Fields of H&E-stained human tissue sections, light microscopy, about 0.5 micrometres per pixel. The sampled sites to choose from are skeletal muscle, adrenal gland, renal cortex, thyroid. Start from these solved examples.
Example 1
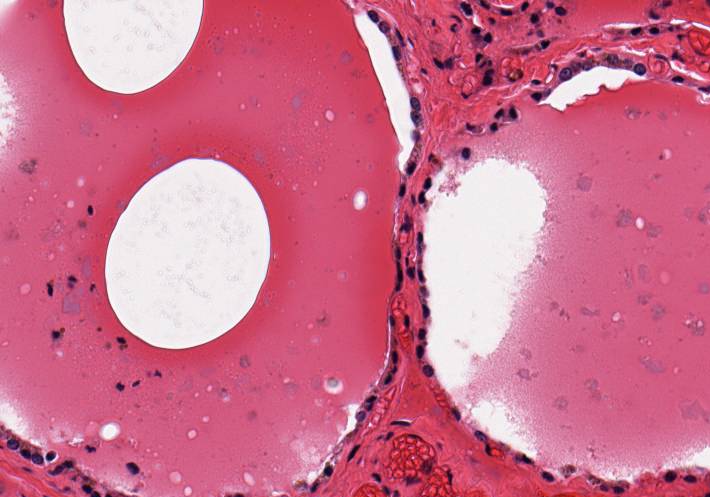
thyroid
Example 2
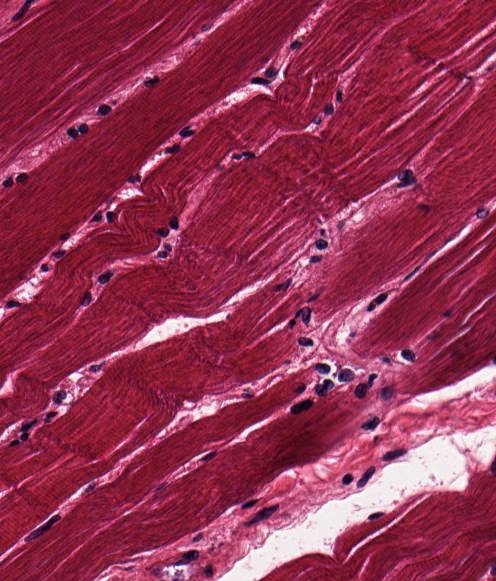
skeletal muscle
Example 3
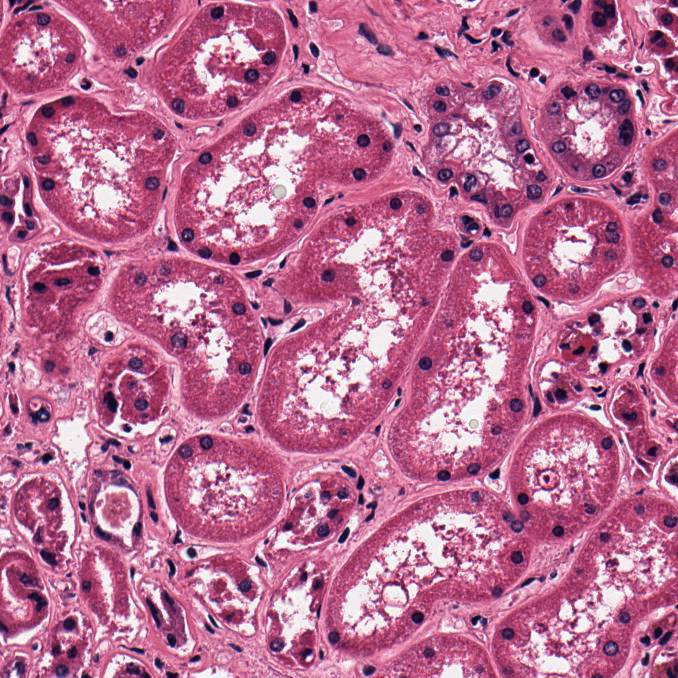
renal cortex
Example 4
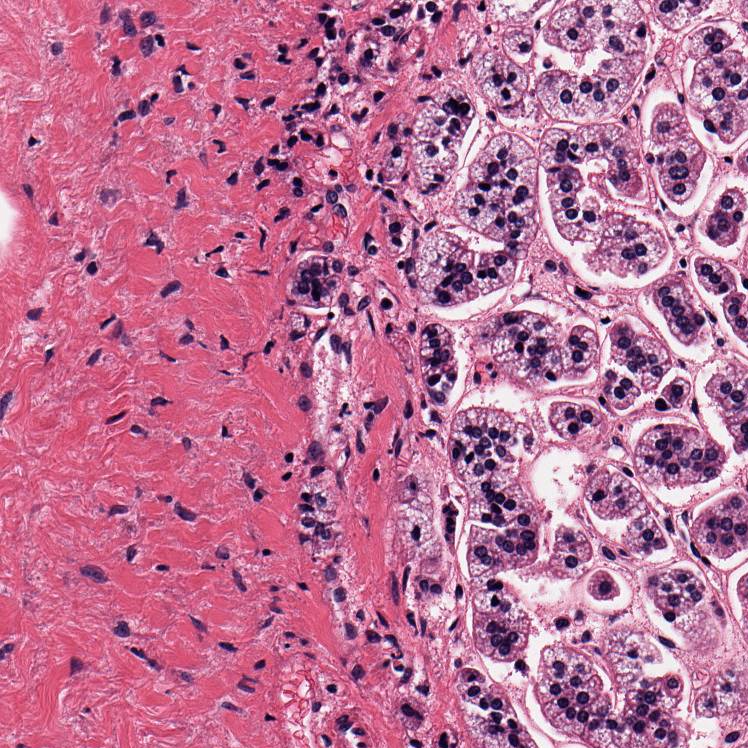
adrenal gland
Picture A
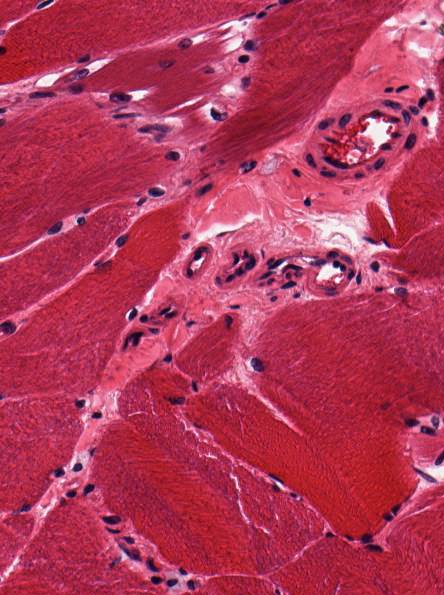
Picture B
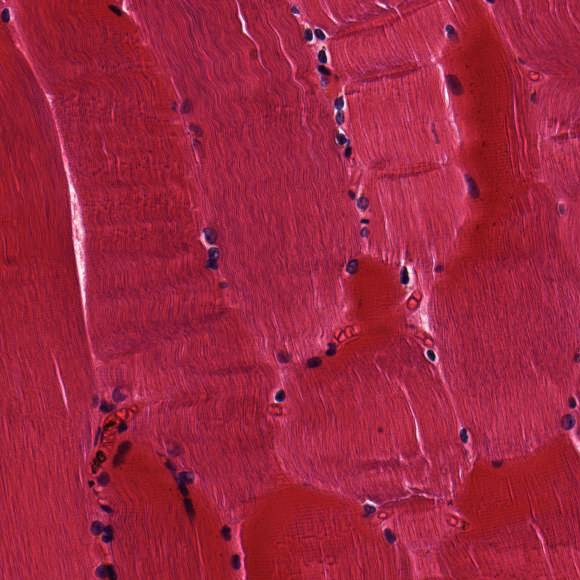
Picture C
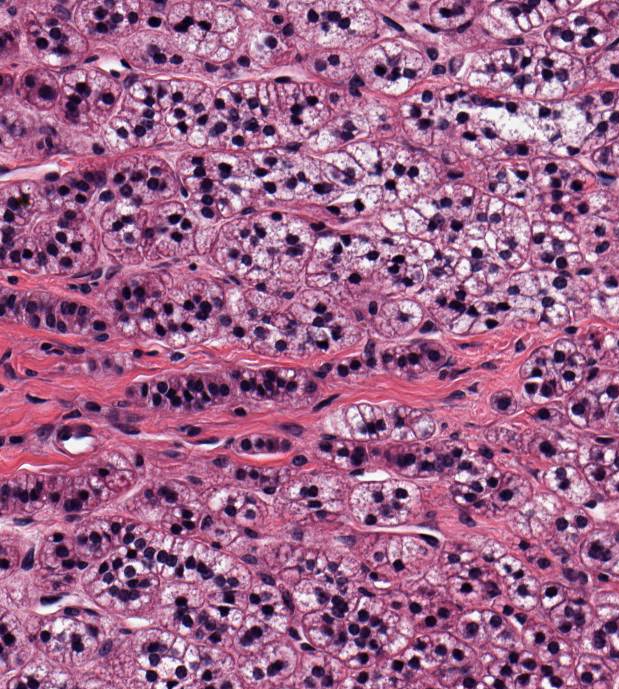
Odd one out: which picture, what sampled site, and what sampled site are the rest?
Different: C, adrenal gland. Others: skeletal muscle.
